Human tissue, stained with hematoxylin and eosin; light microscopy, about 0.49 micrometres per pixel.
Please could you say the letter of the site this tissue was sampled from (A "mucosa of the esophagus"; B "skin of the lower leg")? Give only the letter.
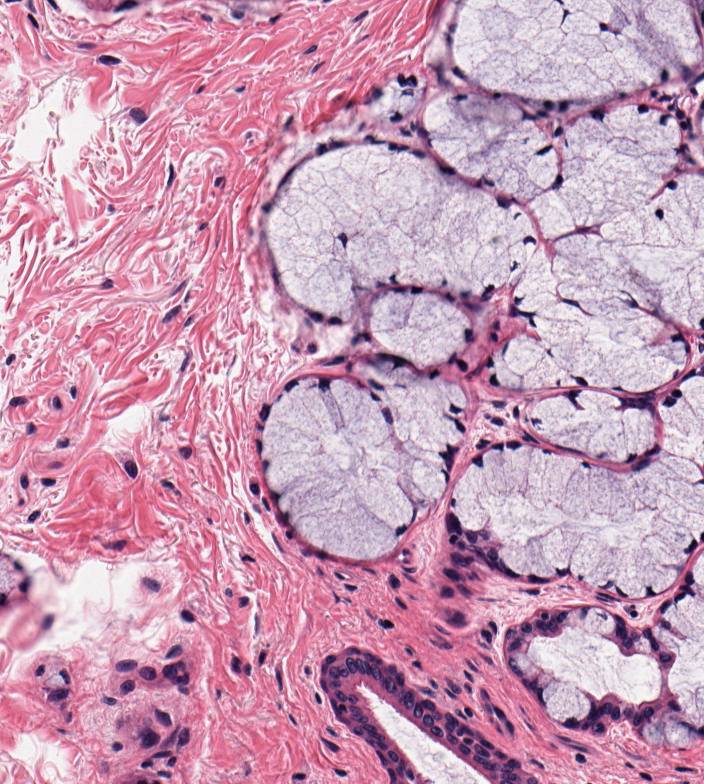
A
